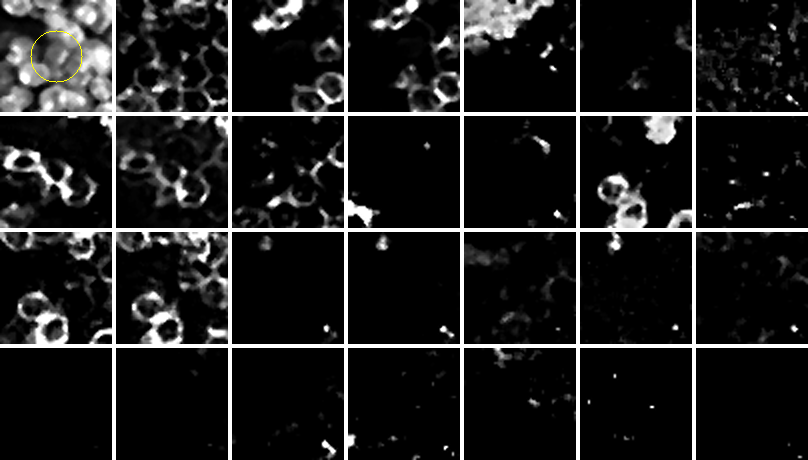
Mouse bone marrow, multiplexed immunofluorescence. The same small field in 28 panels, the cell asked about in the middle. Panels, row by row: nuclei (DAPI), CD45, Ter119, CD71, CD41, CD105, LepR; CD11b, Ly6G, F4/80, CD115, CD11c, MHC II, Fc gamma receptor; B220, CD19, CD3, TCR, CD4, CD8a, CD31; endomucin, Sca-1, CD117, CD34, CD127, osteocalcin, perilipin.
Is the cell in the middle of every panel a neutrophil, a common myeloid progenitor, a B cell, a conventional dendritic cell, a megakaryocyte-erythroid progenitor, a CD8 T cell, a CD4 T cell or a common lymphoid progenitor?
It is a neutrophil.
